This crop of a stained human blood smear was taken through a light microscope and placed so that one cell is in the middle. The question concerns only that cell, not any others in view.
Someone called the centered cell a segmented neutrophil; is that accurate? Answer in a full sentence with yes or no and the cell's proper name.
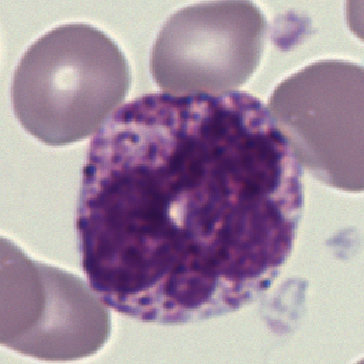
No, the cell at the center of this crop is a basophil instead of a segmented neutrophil.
